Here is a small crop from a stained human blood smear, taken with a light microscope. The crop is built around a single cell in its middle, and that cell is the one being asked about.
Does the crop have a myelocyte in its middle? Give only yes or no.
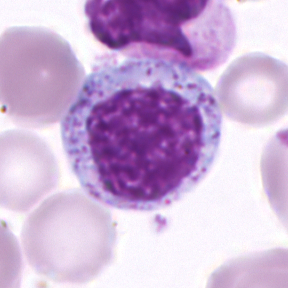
yes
